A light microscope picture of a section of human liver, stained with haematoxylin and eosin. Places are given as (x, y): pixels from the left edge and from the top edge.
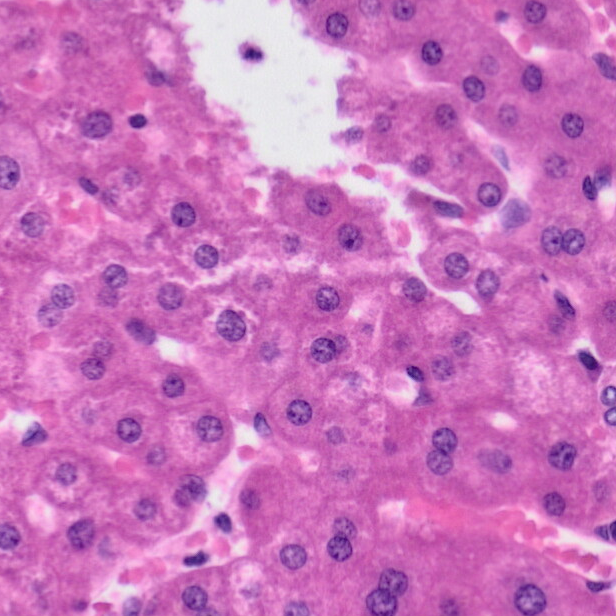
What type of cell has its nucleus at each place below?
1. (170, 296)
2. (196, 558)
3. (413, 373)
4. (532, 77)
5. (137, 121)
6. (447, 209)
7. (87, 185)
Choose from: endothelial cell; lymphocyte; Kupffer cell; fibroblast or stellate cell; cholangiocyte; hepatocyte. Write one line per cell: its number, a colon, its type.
1: hepatocyte
2: lymphocyte
3: fibroblast or stellate cell
4: hepatocyte
5: lymphocyte
6: Kupffer cell
7: fibroblast or stellate cell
